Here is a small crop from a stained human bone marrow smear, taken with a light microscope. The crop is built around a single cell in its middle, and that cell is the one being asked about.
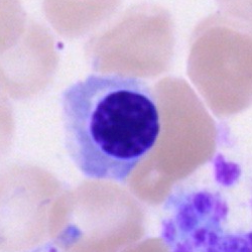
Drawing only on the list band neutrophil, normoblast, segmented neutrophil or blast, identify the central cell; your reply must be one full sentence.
At the center of the crop sits a normoblast.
